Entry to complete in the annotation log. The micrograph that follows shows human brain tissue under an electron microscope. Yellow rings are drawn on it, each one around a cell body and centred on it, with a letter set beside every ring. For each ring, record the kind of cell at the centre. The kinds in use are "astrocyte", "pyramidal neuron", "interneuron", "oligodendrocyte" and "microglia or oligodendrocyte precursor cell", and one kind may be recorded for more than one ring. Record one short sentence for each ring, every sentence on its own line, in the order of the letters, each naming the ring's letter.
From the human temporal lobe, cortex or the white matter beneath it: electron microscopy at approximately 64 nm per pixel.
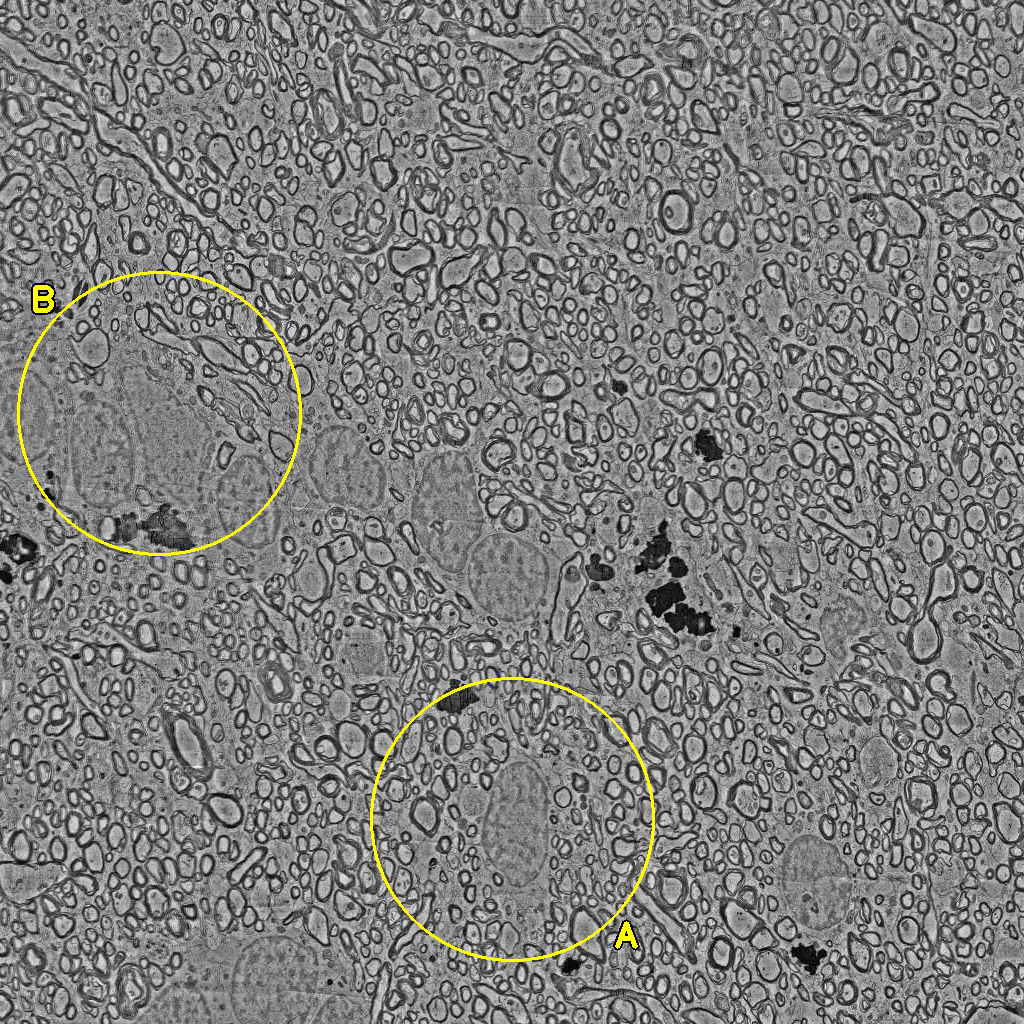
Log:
Ring A is placed around an oligodendrocyte.
Ring B is placed around an astrocyte.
